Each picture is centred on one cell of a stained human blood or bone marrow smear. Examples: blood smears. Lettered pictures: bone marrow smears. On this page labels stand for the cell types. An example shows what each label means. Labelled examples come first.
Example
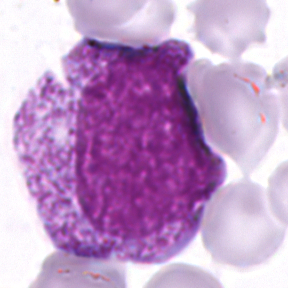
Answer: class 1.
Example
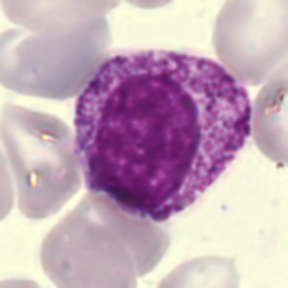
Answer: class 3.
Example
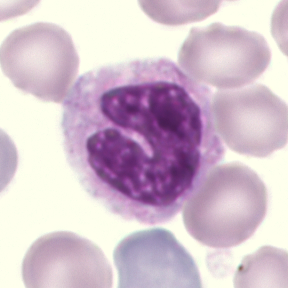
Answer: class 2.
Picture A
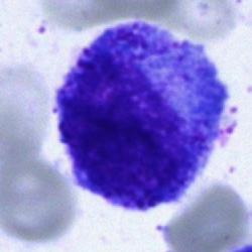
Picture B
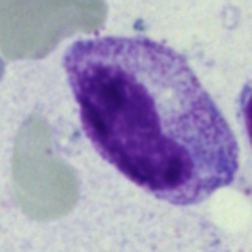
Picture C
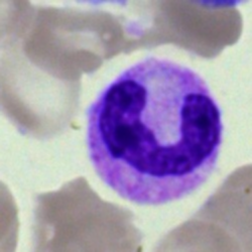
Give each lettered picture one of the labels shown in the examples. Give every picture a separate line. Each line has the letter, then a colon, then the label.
A: class 1.
B: class 2.
C: class 2.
